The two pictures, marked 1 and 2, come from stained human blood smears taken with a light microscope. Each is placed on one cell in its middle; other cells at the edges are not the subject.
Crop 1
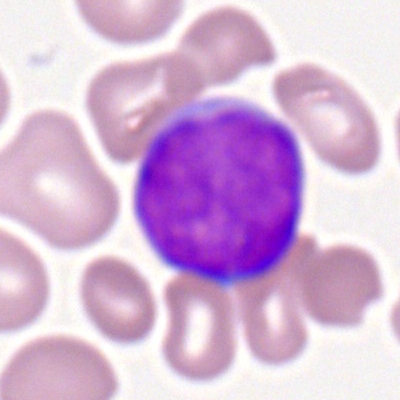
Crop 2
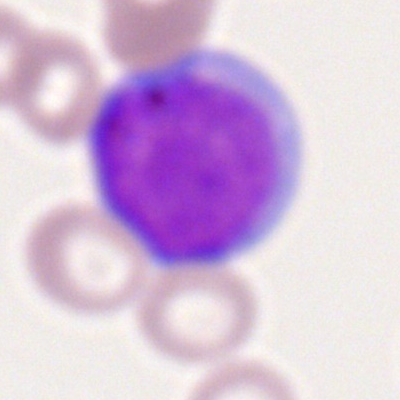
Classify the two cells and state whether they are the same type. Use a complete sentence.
Yes, it is blasts that sit at the centre of both crops.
